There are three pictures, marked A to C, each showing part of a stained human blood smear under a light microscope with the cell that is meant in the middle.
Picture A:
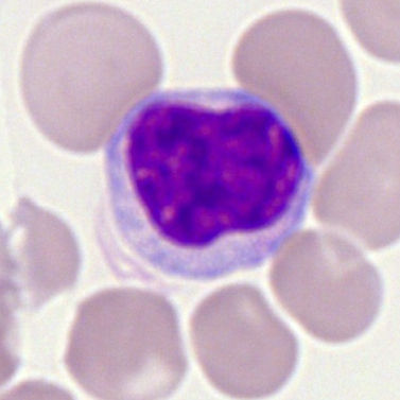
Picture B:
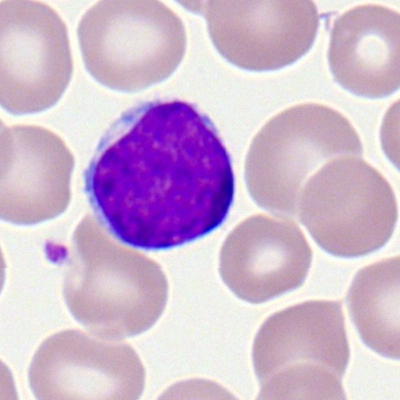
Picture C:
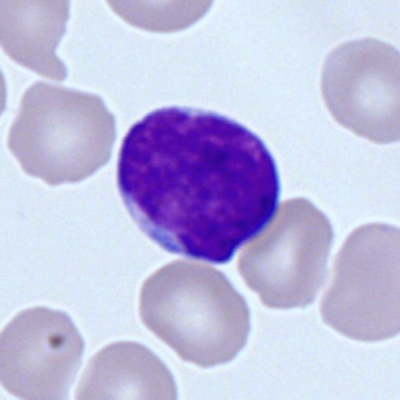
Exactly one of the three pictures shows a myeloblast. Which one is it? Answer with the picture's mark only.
C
